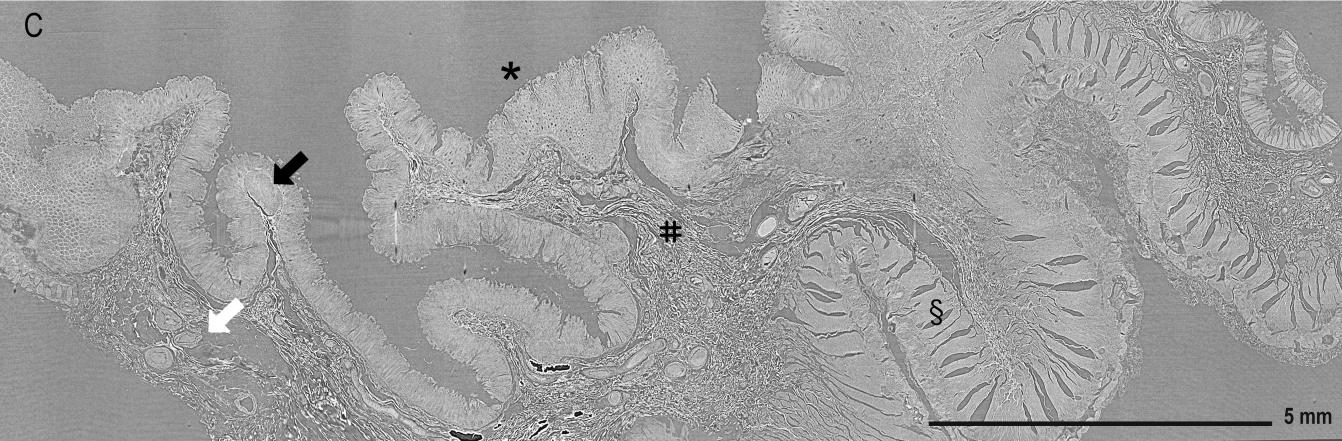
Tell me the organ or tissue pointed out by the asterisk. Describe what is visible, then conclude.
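Mucosa. The layer is made of closely packed, finely textured glandular tissue. It has an undulating free surface facing the empty lumen.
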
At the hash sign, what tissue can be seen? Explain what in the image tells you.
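The hash sign sits on loose, fibrous tissue beneath the folded glandular layer. This tissue has a streaky, wavy fibre texture. Round vessel profiles lie within it. On this evidence: submucosa.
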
